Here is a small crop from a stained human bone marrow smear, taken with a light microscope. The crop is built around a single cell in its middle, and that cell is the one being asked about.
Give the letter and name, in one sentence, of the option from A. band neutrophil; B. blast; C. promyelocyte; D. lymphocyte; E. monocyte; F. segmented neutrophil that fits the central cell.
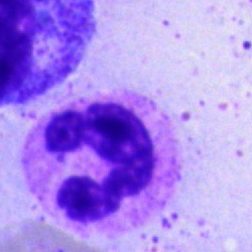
Option F is the correct selection, for the cell at the centre is a segmented neutrophil.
